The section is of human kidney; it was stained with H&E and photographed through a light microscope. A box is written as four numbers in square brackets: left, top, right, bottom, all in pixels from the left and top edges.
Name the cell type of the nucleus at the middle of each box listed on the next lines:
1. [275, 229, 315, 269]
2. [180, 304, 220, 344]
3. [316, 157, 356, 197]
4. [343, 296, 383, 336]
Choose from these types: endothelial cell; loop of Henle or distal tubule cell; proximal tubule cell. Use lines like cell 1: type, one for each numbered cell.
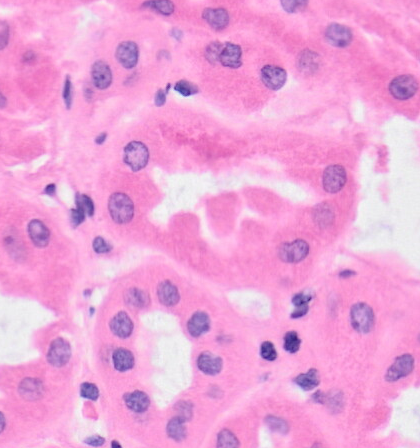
cell 1: proximal tubule cell
cell 2: loop of Henle or distal tubule cell
cell 3: proximal tubule cell
cell 4: proximal tubule cell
